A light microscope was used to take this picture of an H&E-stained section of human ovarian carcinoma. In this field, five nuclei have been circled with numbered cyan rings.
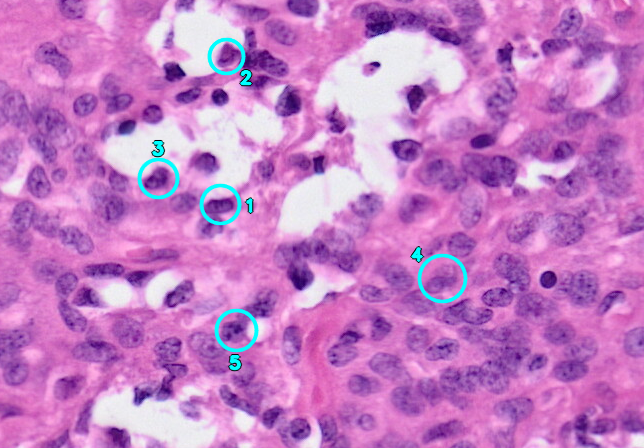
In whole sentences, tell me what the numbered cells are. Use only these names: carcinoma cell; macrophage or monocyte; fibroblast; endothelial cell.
Cells 1, 2 and 4 are carcinoma cells. Cells 3 and 5 are macrophages or monocytes.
